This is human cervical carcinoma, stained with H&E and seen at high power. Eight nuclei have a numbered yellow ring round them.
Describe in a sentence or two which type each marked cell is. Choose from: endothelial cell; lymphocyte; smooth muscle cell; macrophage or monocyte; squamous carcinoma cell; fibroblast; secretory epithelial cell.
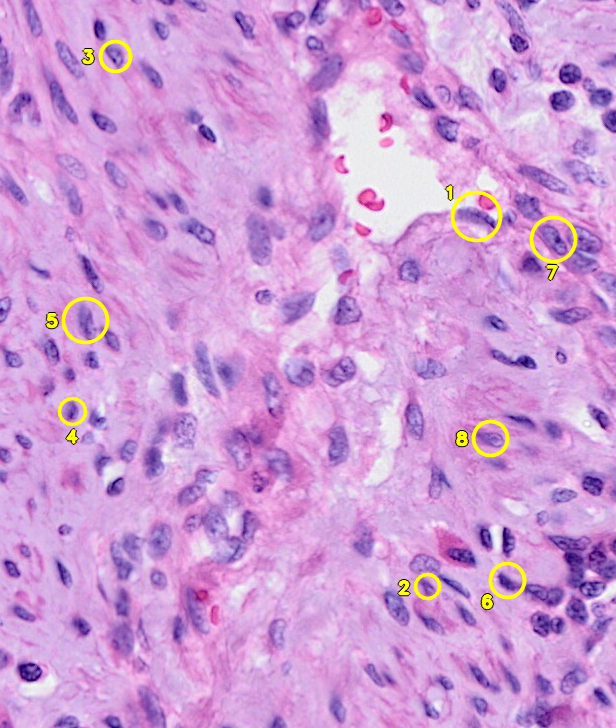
Cells 1 and 7 are endothelial cells. Cells 2, 3, 4, 5 and 8 are smooth muscle cells. Cell 6 is a lymphocyte.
